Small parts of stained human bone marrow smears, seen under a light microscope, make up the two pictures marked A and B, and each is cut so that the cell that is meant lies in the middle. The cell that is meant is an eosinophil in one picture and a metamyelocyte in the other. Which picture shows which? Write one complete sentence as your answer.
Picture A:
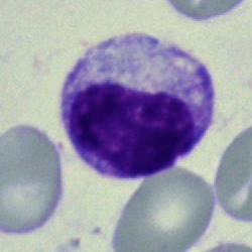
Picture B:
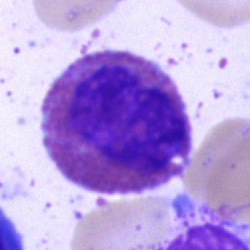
The cell in picture A is a metamyelocyte, and the one in picture B is an eosinophil.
